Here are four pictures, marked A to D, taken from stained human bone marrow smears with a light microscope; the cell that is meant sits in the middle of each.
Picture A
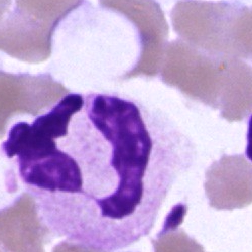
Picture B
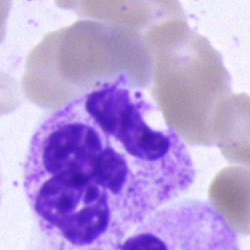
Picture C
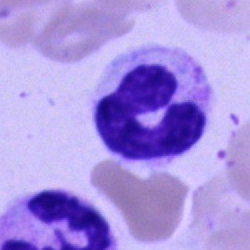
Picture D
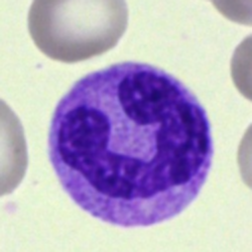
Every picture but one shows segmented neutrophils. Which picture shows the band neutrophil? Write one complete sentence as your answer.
The cell in picture C is the band neutrophil.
